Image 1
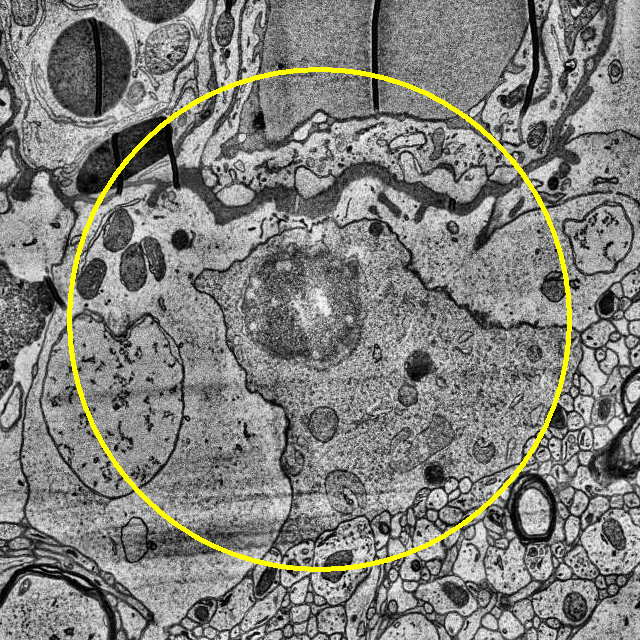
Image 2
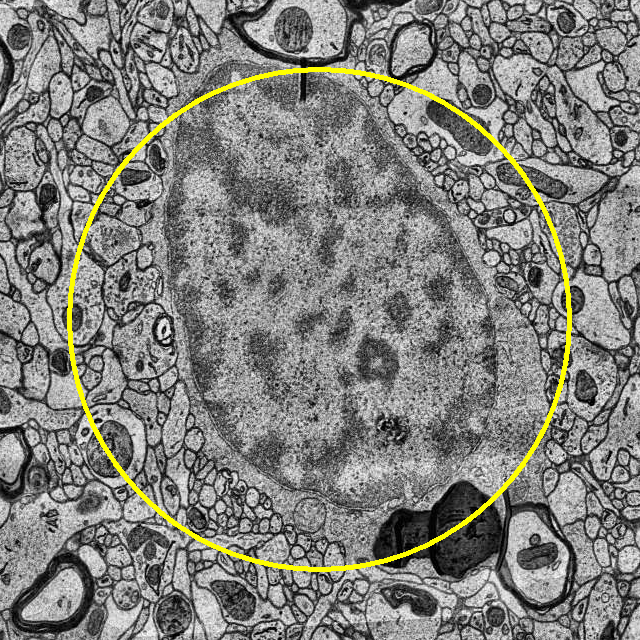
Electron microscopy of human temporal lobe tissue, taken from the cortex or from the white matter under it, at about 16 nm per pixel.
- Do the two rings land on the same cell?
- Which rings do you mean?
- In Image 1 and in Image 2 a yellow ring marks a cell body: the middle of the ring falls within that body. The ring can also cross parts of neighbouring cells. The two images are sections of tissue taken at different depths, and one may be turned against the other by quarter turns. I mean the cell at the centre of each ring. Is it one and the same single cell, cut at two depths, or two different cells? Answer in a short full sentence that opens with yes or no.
No, the yellow rings highlight two different cells in the tissue.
